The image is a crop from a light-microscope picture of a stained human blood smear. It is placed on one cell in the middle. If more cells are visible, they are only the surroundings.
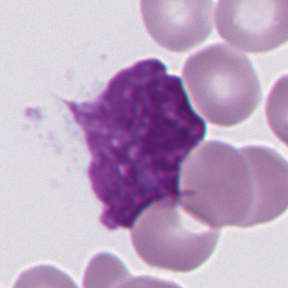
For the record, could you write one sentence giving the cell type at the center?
Centred in the crop is a smudge cell.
